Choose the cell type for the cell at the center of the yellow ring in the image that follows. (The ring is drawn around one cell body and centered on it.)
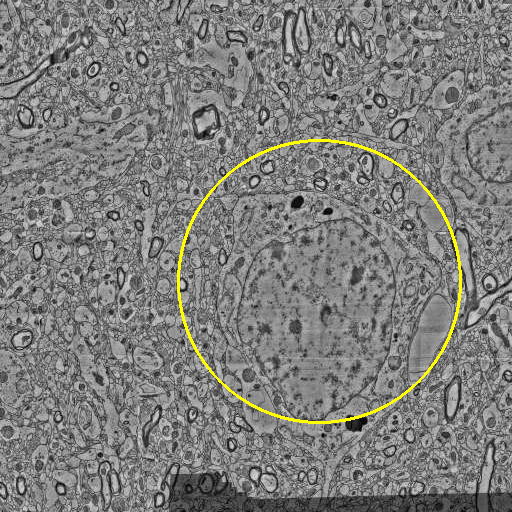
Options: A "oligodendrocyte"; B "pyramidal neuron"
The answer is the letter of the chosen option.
B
